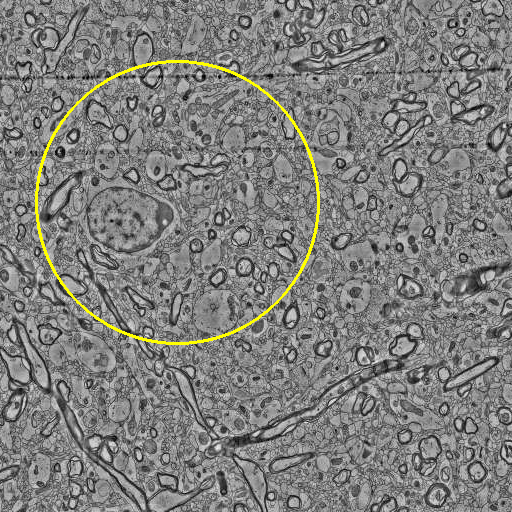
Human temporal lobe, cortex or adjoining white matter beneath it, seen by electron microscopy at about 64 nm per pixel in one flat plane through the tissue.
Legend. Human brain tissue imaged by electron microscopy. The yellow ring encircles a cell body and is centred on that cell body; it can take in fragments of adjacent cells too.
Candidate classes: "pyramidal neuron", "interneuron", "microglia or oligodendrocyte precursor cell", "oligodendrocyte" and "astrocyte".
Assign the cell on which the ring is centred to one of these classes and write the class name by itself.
microglia or oligodendrocyte precursor cell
